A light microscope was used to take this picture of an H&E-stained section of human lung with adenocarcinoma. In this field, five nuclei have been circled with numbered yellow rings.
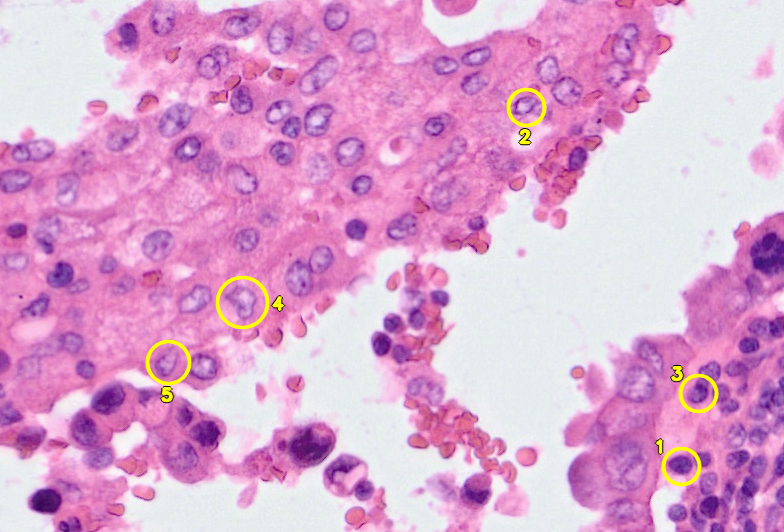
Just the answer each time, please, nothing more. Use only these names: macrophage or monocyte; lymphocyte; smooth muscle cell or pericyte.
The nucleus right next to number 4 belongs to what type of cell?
macrophage or monocyte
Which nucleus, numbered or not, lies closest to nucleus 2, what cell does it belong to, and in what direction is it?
a macrophage or monocyte; to the right of nucleus 2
